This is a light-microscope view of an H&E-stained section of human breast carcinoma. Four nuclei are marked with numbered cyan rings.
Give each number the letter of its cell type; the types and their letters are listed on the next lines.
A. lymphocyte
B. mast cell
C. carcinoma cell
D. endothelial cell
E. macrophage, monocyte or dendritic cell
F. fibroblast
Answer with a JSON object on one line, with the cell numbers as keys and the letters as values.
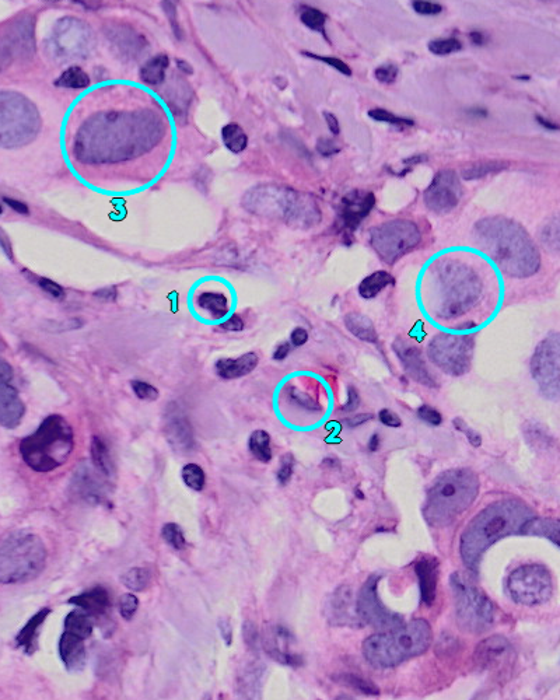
{"1": "A", "2": "D", "3": "C", "4": "C"}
